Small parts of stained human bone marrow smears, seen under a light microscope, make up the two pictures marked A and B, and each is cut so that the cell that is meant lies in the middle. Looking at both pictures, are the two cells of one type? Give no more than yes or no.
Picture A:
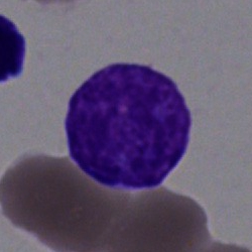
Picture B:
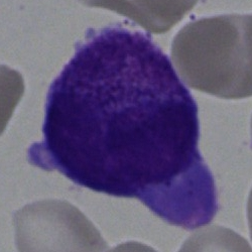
yes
